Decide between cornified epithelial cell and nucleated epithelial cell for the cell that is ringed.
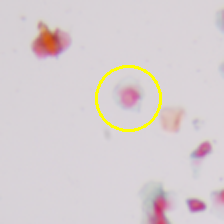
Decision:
I take the ringed cell for a nucleated epithelial cell.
